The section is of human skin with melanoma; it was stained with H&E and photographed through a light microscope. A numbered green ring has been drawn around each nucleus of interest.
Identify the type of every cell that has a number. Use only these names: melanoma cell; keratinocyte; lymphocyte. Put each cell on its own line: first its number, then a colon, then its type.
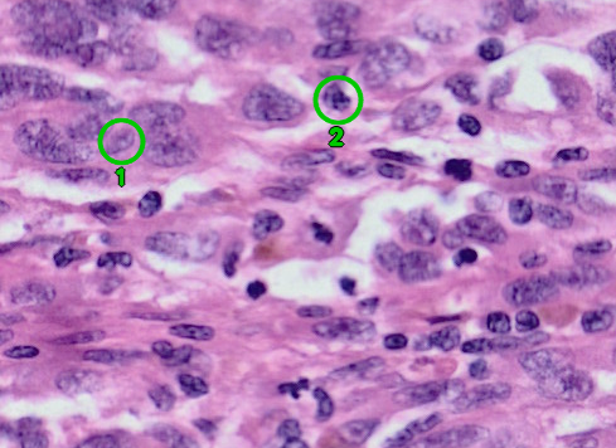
1: melanoma cell
2: lymphocyte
